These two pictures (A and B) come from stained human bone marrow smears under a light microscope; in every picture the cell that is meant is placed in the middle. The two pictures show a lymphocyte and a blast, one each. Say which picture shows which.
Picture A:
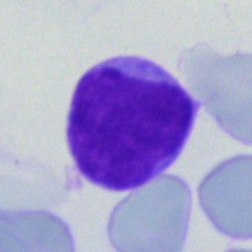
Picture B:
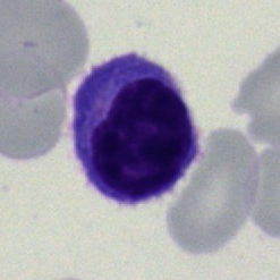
A: blast
B: lymphocyte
